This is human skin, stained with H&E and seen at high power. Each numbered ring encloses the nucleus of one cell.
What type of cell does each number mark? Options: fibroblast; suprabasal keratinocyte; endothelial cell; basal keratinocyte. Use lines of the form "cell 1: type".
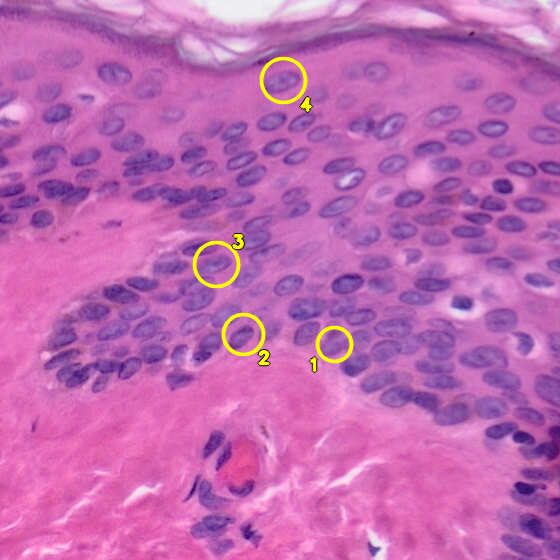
cell 1: basal keratinocyte
cell 2: basal keratinocyte
cell 3: basal keratinocyte
cell 4: suprabasal keratinocyte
